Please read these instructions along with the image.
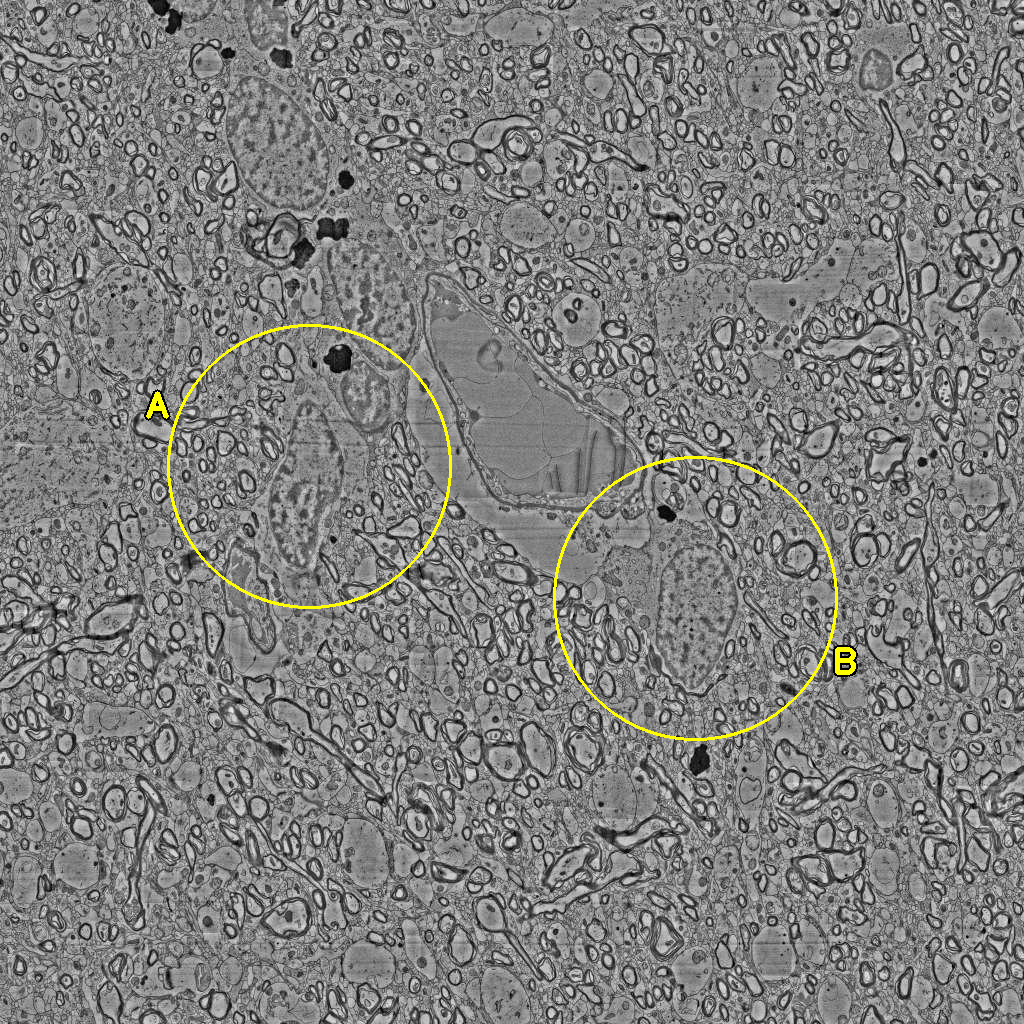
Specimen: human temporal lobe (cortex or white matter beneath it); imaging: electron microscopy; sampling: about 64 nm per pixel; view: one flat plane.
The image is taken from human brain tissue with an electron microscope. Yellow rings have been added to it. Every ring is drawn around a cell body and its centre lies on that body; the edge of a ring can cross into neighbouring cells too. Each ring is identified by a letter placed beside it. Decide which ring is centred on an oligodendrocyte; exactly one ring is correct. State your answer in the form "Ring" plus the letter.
Ring B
